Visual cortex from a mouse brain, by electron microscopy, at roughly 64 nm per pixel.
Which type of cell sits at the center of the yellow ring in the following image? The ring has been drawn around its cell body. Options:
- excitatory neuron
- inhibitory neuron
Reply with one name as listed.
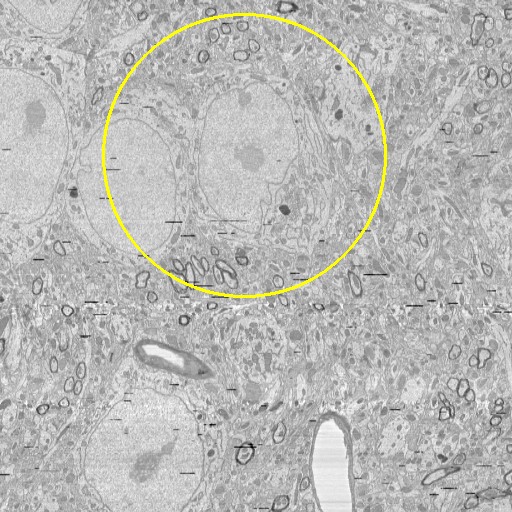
inhibitory neuron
